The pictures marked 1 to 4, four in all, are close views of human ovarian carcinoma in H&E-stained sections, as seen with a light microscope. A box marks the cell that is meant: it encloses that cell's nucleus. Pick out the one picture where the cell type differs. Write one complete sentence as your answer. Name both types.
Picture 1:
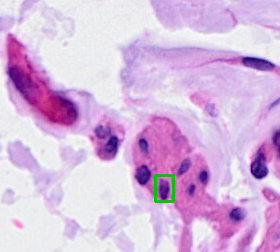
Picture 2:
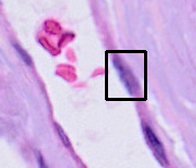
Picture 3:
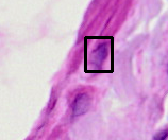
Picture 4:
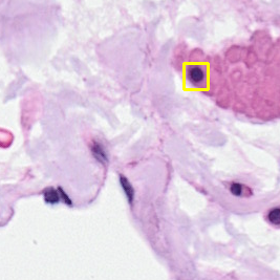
The different one is picture 2; it shows an endothelial cell, whereas all the others show smooth muscle cells.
